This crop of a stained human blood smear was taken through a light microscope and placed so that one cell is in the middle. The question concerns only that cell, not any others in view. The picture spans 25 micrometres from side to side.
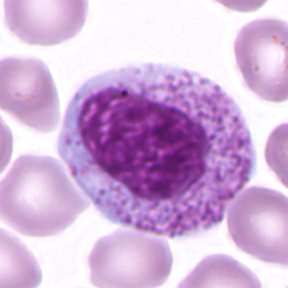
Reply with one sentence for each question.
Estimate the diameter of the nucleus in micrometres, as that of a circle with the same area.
About 10 micrometres: that is the diameter of the nucleus.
